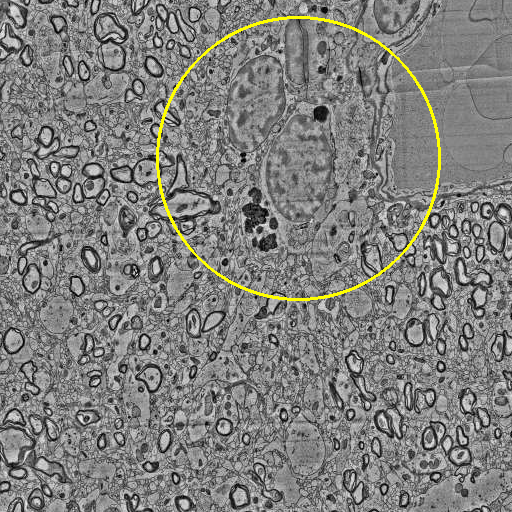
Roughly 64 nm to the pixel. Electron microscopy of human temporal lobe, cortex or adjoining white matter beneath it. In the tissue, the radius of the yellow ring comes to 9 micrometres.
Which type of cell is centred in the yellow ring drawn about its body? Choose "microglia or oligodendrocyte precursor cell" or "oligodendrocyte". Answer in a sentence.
The yellow ring surrounds the cell body of an oligodendrocyte.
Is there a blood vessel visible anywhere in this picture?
Yes, one appears.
